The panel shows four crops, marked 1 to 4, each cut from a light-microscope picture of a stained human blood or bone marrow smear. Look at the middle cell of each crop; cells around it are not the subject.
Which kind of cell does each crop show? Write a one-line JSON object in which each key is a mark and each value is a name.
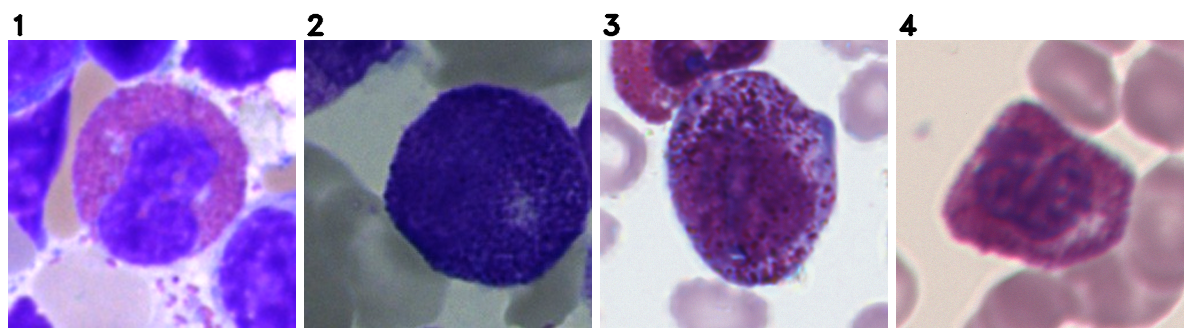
{"1": "eosinophil", "2": "promyelocyte", "3": "promyelocyte", "4": "eosinophil"}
